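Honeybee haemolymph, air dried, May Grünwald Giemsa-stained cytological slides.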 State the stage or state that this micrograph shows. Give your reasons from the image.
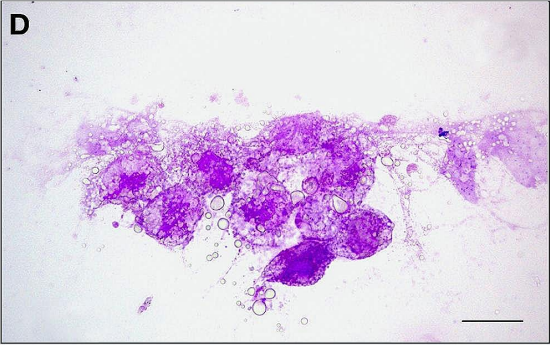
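“phoamy” plasmatocytes. A sheet of large cells whose cytoplasm is full of clear vacuoles. Many clear round droplets lie in and around the cells.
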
